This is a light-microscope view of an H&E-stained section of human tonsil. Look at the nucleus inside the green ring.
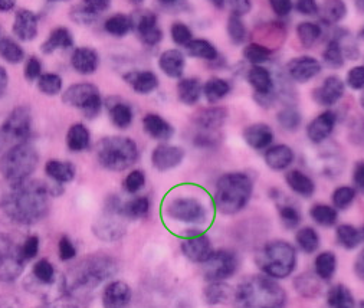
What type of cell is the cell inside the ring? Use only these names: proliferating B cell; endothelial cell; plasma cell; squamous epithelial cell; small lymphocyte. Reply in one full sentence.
The cell inside the ring is a proliferating B cell.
